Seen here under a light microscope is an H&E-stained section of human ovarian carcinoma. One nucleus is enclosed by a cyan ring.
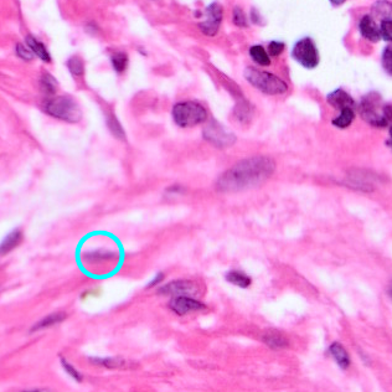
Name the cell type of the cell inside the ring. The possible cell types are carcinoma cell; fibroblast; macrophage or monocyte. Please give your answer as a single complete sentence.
In this tissue sample, the cell inside the ring is a fibroblast.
